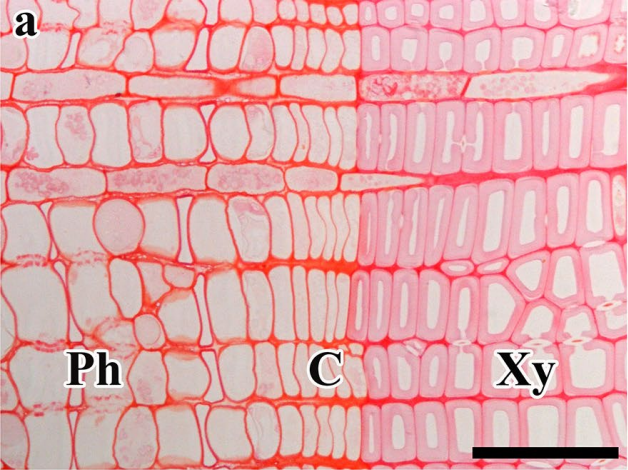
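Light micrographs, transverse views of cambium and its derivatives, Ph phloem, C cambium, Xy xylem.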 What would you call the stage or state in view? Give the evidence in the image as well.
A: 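Dormant. The cambial zone is a narrow band of few flattened cells in radial files. Thick-walled xylem cells lie directly against the cambial zone, with no band of enlarging cells between.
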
